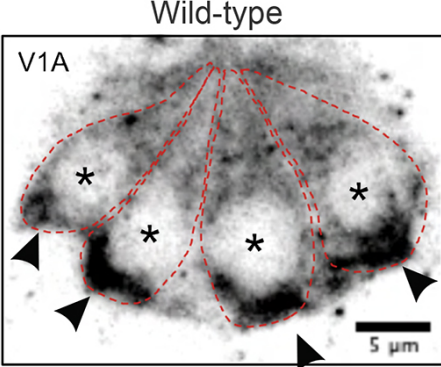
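Here is a small cluster of sensory hair cells of a neuromast, shown with dark staining on a pale background. Each cell, outlined by a red dashed line, is pear-shaped: a broad rounded base below and a slender neck that runs upward, so that all the necks converge to one point at the top, like a bunch of flowers. Within each base lies a round pale nucleus. The cytoplasm around the nucleus is greyly stained, and the staining is densest at the bottom of several cells, forming dark caps beneath the nuclei. Above the cells, around the converging necks, there is more diffuse grey staining.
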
